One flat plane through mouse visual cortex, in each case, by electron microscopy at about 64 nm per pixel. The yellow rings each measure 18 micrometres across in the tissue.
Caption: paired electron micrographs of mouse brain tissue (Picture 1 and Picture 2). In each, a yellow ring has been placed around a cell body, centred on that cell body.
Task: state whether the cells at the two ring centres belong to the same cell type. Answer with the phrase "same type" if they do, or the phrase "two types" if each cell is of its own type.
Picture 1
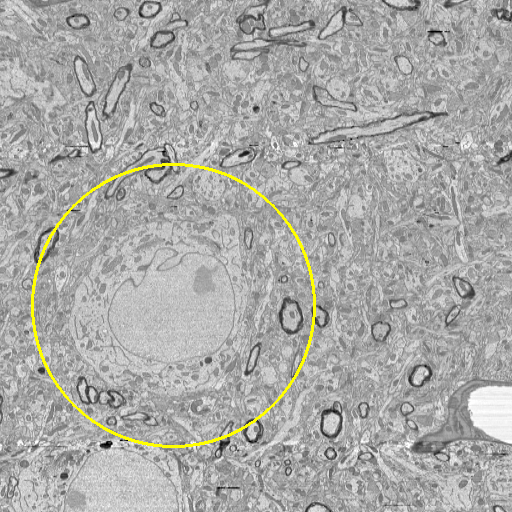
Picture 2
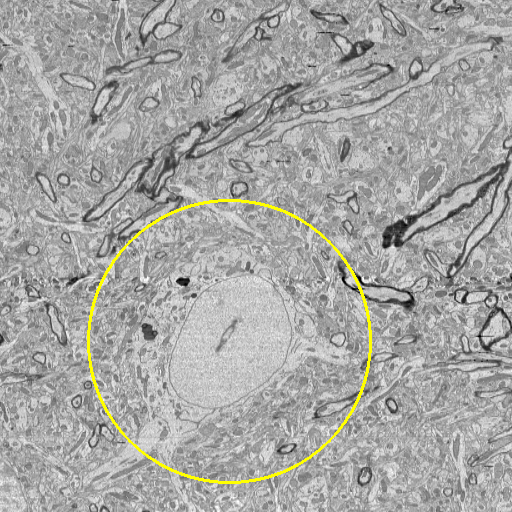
same type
